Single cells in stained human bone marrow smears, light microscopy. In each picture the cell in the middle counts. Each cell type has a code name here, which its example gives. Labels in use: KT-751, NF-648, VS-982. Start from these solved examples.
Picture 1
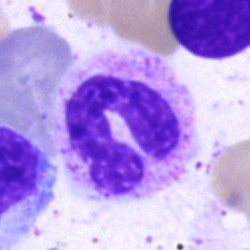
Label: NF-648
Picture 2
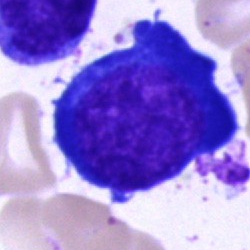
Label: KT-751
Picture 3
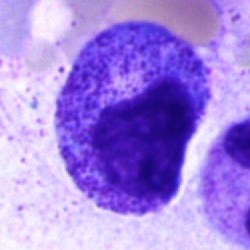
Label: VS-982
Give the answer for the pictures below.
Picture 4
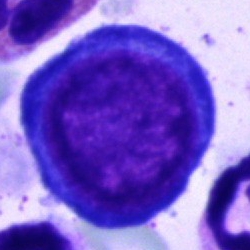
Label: KT-751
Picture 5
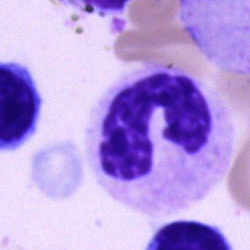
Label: NF-648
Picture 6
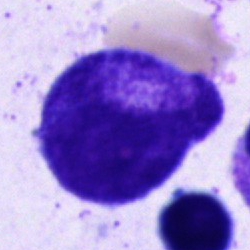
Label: VS-982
